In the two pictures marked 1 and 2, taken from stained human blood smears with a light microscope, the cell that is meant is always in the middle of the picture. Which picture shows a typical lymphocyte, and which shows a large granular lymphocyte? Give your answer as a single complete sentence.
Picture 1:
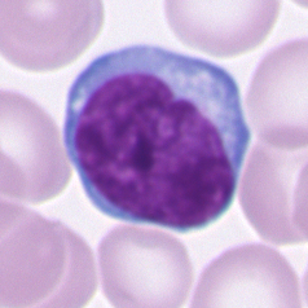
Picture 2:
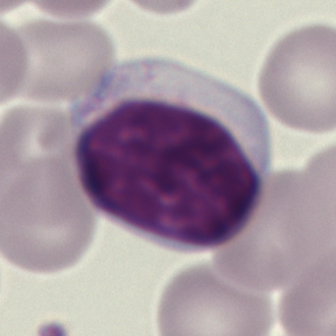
The cell in picture 1 is a typical lymphocyte, and the one in picture 2 is a large granular lymphocyte.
